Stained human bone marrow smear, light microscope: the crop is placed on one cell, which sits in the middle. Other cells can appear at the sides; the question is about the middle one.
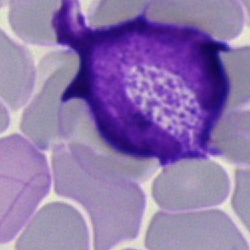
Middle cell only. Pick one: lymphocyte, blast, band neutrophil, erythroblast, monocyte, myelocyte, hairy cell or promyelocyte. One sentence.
To answer, the cell in the center of the crop is a band neutrophil.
